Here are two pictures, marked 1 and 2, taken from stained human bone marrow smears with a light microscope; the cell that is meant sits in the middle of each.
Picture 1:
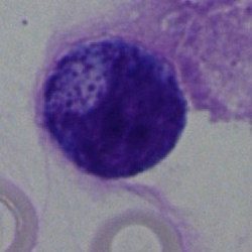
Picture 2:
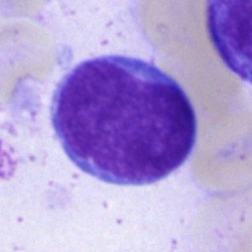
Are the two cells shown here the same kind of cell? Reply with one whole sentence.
No, the types are not the same, since picture 1 shows a promyelocyte and picture 2 a blast.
